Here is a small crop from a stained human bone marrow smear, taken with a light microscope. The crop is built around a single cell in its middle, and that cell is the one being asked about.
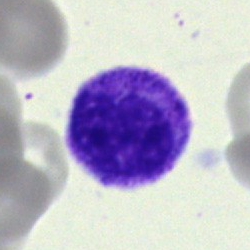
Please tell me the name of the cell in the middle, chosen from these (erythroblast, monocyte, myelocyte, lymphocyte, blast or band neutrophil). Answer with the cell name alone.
myelocyte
